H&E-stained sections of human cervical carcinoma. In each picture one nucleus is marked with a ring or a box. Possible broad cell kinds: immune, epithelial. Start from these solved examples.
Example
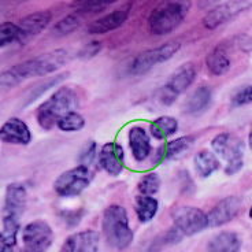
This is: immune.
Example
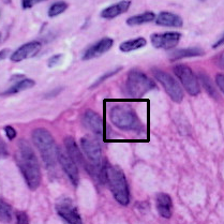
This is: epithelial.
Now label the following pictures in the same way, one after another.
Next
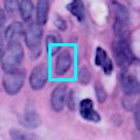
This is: epithelial.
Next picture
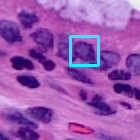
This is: epithelial.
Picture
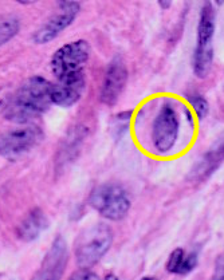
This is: immune.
